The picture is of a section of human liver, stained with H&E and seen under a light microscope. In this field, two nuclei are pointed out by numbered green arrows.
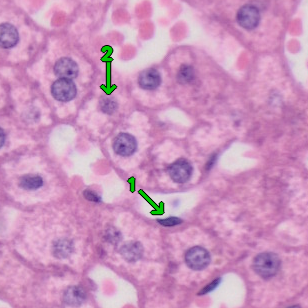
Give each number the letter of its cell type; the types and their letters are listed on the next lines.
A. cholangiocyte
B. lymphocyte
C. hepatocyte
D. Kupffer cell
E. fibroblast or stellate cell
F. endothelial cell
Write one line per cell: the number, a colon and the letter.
1: F
2: C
